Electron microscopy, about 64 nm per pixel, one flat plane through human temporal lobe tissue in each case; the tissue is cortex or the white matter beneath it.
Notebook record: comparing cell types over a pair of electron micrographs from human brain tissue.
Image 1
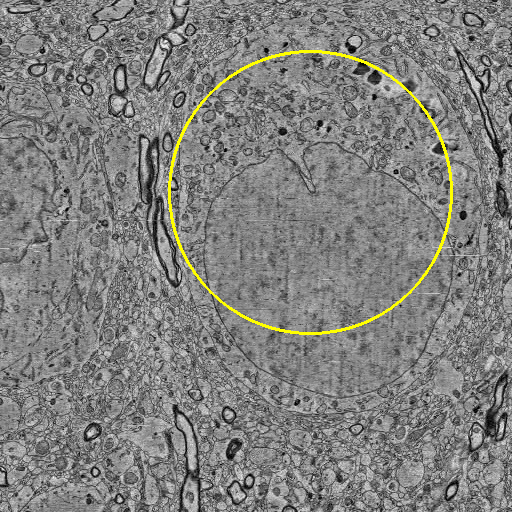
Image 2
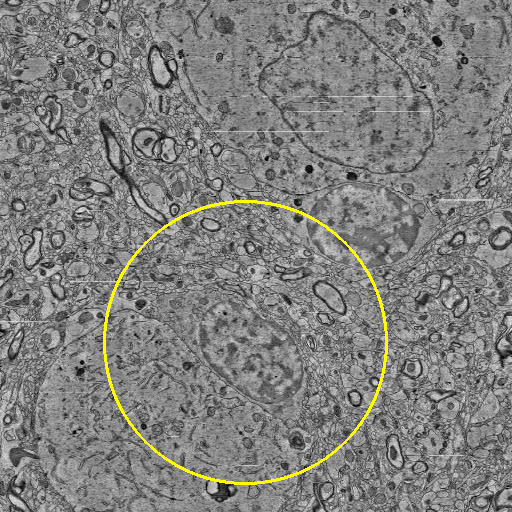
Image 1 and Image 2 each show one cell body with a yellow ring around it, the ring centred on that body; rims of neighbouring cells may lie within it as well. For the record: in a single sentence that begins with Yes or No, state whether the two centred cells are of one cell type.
No, two cell types are found among the centred cells of Image 1 and Image 2.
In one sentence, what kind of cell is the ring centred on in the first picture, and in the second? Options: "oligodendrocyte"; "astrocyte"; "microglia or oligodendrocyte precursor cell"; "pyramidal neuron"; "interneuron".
The cell at the centre of the second ring is a microglial cell or oligodendrocyte precursor cell; the first ring's cell is a pyramidal neuron.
